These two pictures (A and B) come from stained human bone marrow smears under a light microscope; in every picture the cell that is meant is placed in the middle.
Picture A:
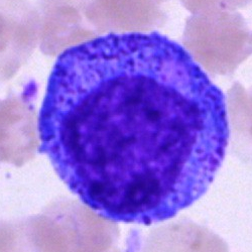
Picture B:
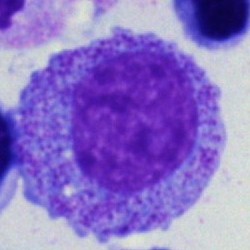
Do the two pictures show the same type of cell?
yes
